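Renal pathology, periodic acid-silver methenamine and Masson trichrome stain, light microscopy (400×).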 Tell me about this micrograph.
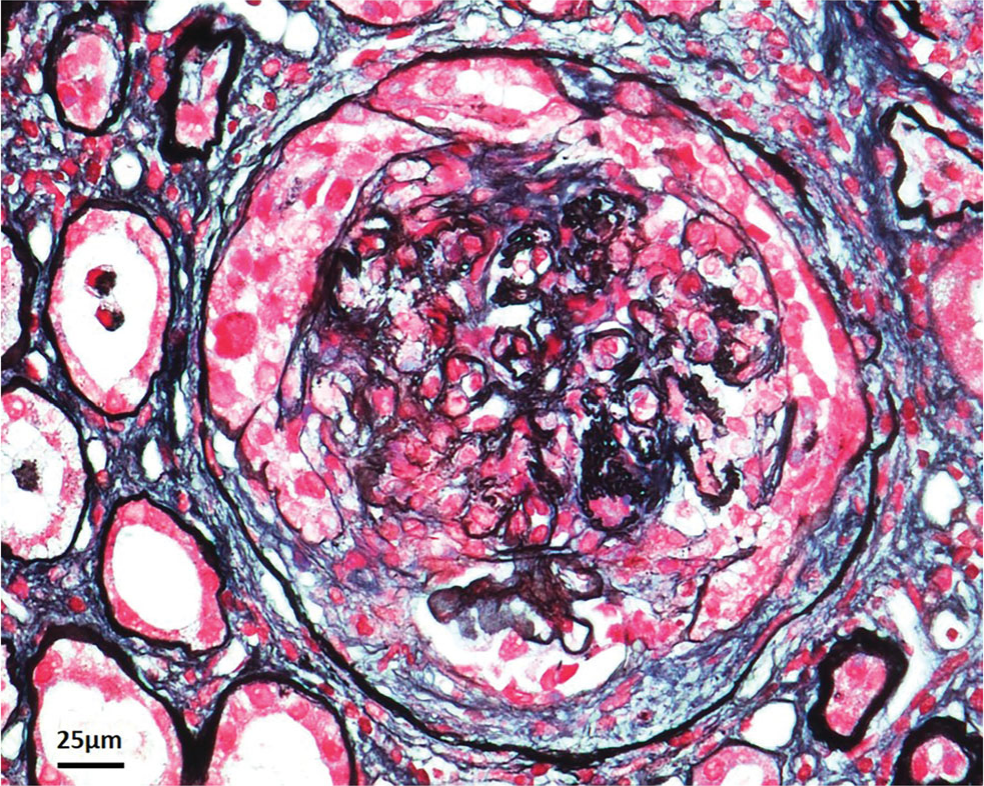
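A glomerulus in kidney tissue, with a cellular crescent filling the space around its capillary tuft. Around the glomerulus lie cross-sections of tubules with thick black basement membranes, set in blue-grey interstitial tissue.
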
